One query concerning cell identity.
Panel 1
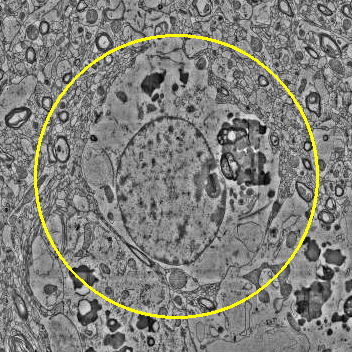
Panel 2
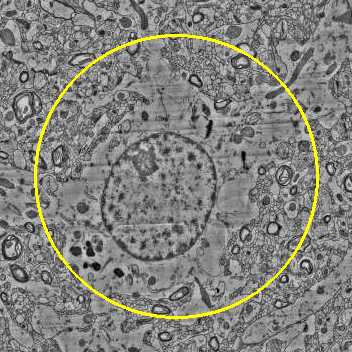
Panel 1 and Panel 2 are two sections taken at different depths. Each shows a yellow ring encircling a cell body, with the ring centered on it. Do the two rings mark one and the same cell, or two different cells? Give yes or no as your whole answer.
no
